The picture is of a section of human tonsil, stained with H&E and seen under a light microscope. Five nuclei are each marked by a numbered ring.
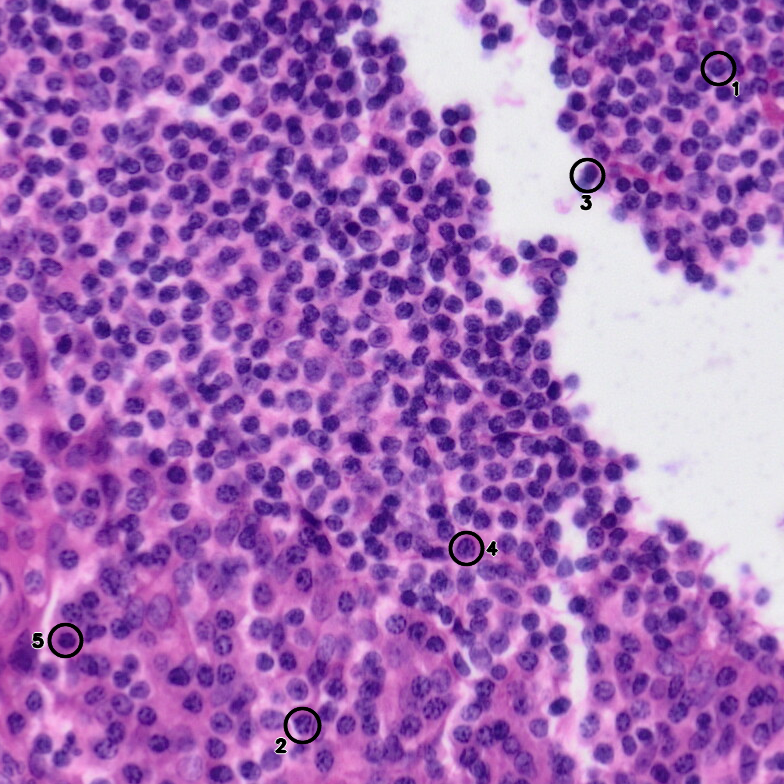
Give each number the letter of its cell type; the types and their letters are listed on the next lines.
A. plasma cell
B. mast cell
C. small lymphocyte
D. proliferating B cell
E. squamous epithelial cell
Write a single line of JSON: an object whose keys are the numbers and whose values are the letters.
{"1": "C", "2": "A", "3": "C", "4": "A", "5": "A"}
